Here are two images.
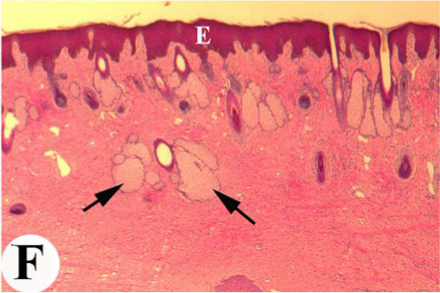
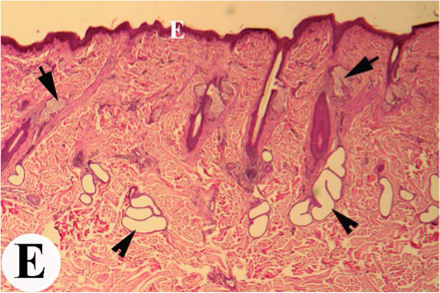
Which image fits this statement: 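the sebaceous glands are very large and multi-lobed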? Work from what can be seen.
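Second image: glands beside the hair follicles are small pale clusters. First image: large pale glands of several lobes fill much of the upper dermis. The answer: the first image.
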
